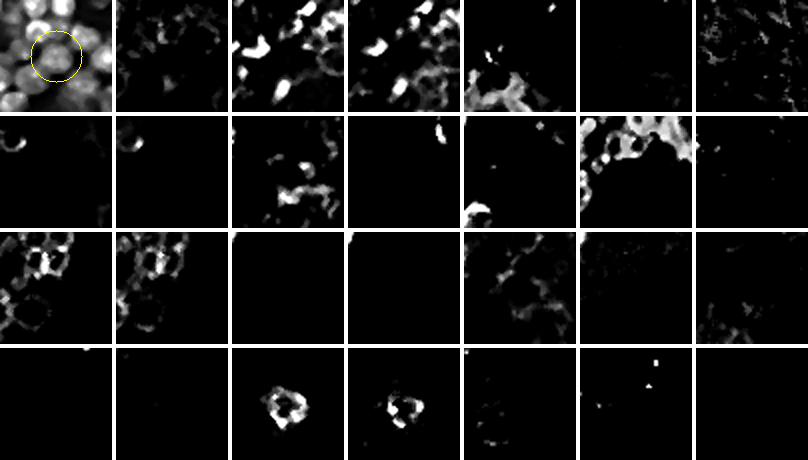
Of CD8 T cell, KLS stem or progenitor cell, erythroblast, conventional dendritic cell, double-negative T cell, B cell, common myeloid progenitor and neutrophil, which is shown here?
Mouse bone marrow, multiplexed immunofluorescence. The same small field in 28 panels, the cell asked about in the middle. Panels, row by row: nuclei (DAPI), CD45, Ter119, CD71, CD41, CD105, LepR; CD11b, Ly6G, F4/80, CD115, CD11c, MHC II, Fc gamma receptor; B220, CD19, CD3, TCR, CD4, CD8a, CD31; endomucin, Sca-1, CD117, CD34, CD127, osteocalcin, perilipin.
common myeloid progenitor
